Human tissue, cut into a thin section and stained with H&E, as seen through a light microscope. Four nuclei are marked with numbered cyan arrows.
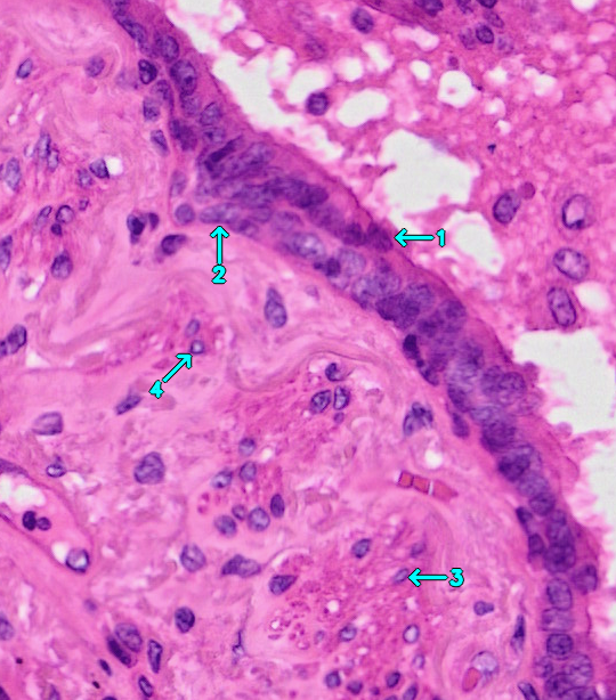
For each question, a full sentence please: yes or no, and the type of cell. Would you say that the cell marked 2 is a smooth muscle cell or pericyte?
No, number 2 corresponds to a ciliated epithelial cell, not a smooth muscle cell or pericyte.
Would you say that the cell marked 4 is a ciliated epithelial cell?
No, the one with number 4 is a smooth muscle cell or pericyte, not a ciliated epithelial cell.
